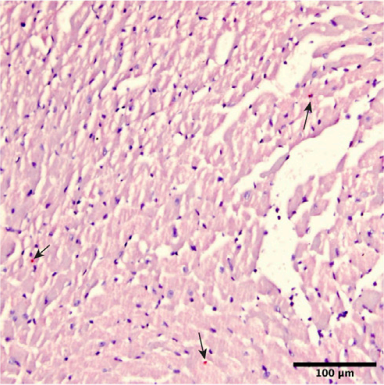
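The muscle fibres stain pink and run mostly in parallel, with scattered blue nuclei between and within them. A few tiny round cells stained red lie singly in the spaces between fibres. Clear elongated gaps separate some bundles of fibres on the right of the field. The red-stained cells are few and widely spaced.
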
